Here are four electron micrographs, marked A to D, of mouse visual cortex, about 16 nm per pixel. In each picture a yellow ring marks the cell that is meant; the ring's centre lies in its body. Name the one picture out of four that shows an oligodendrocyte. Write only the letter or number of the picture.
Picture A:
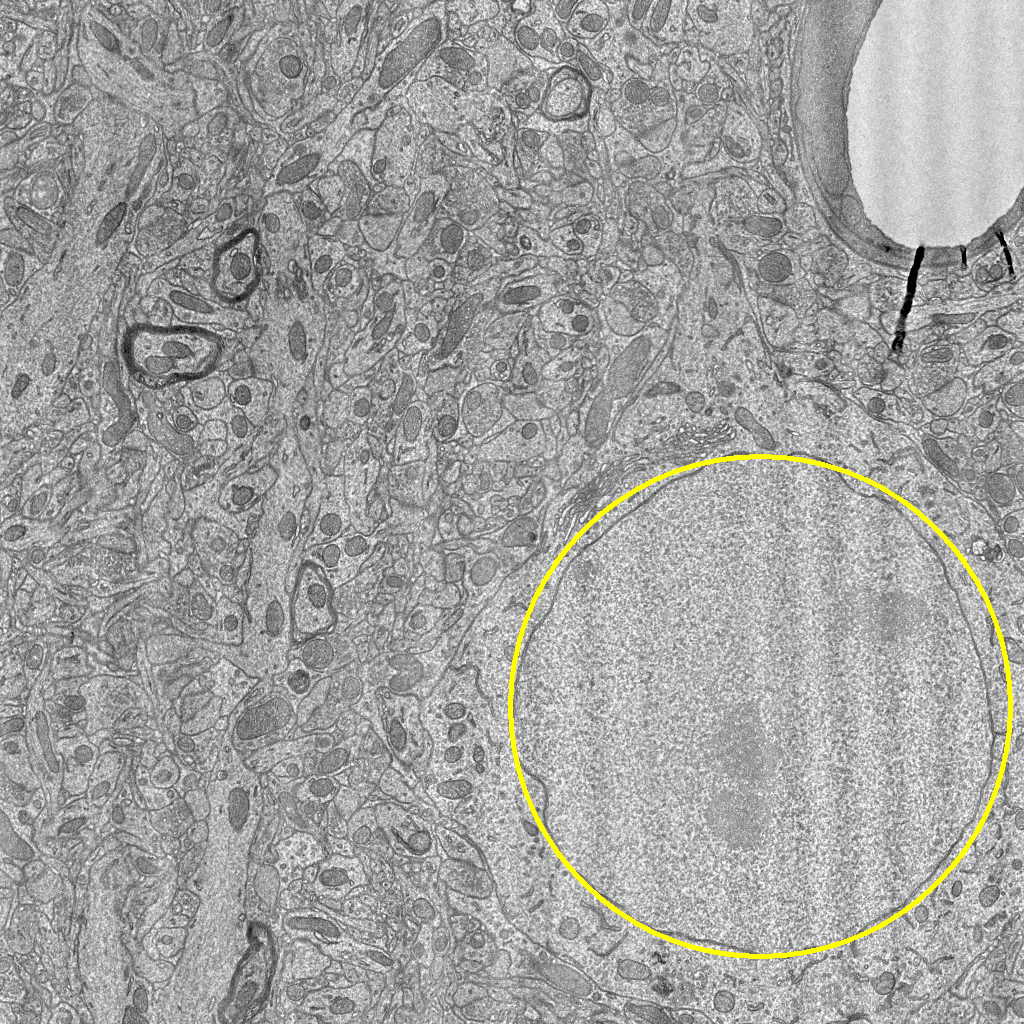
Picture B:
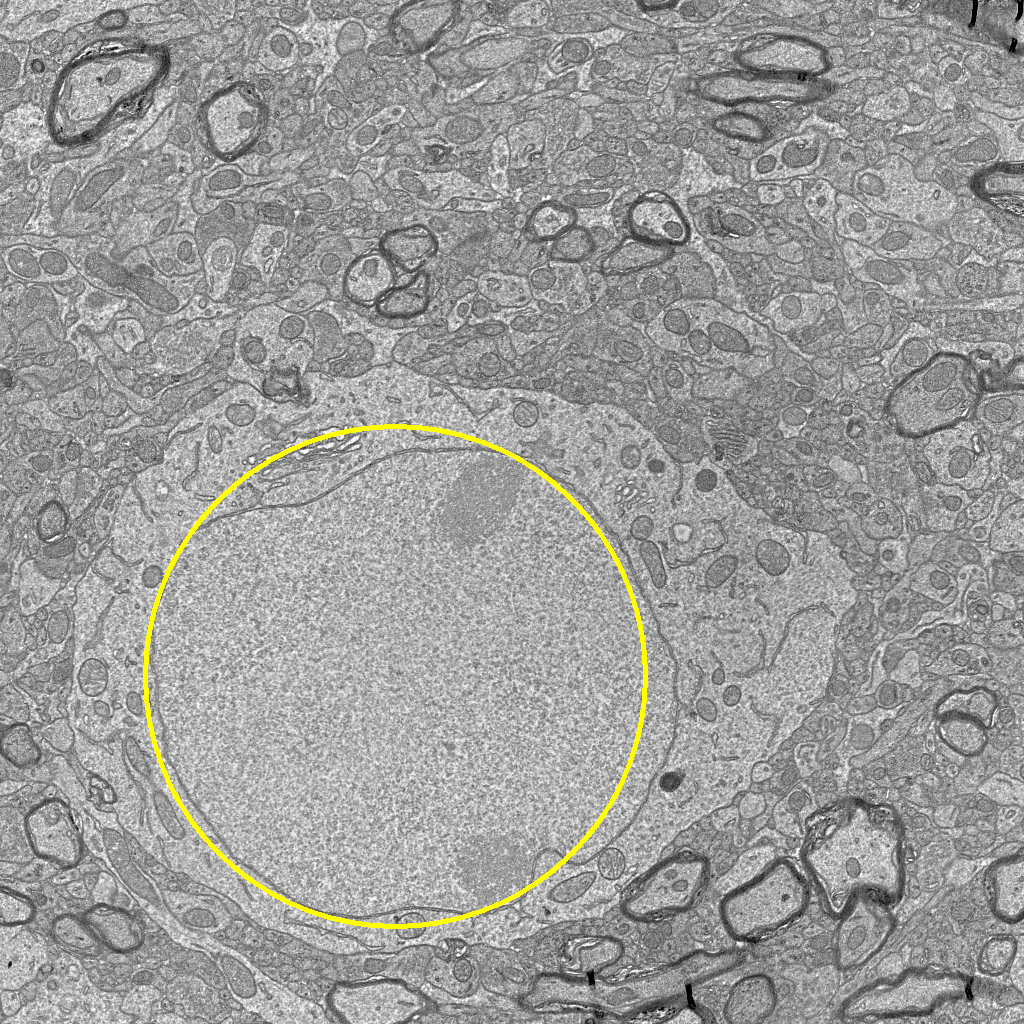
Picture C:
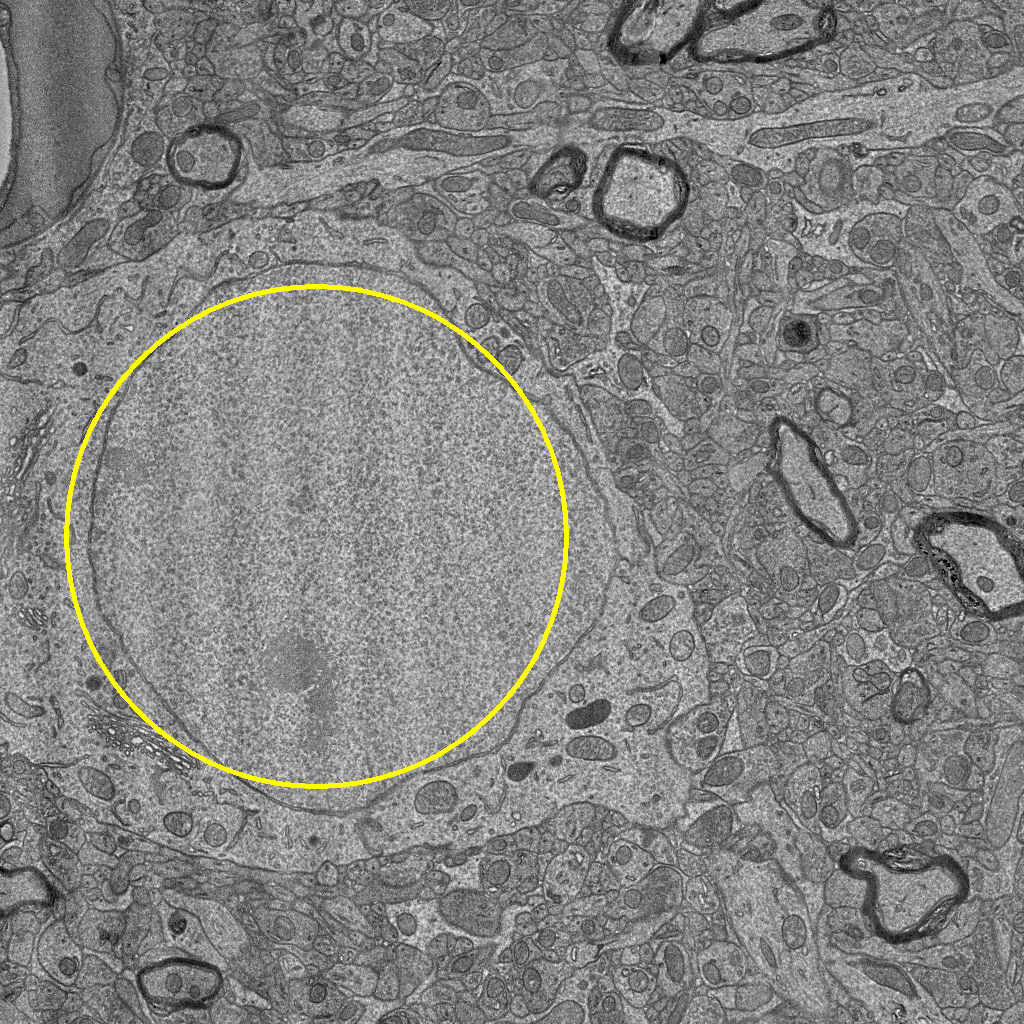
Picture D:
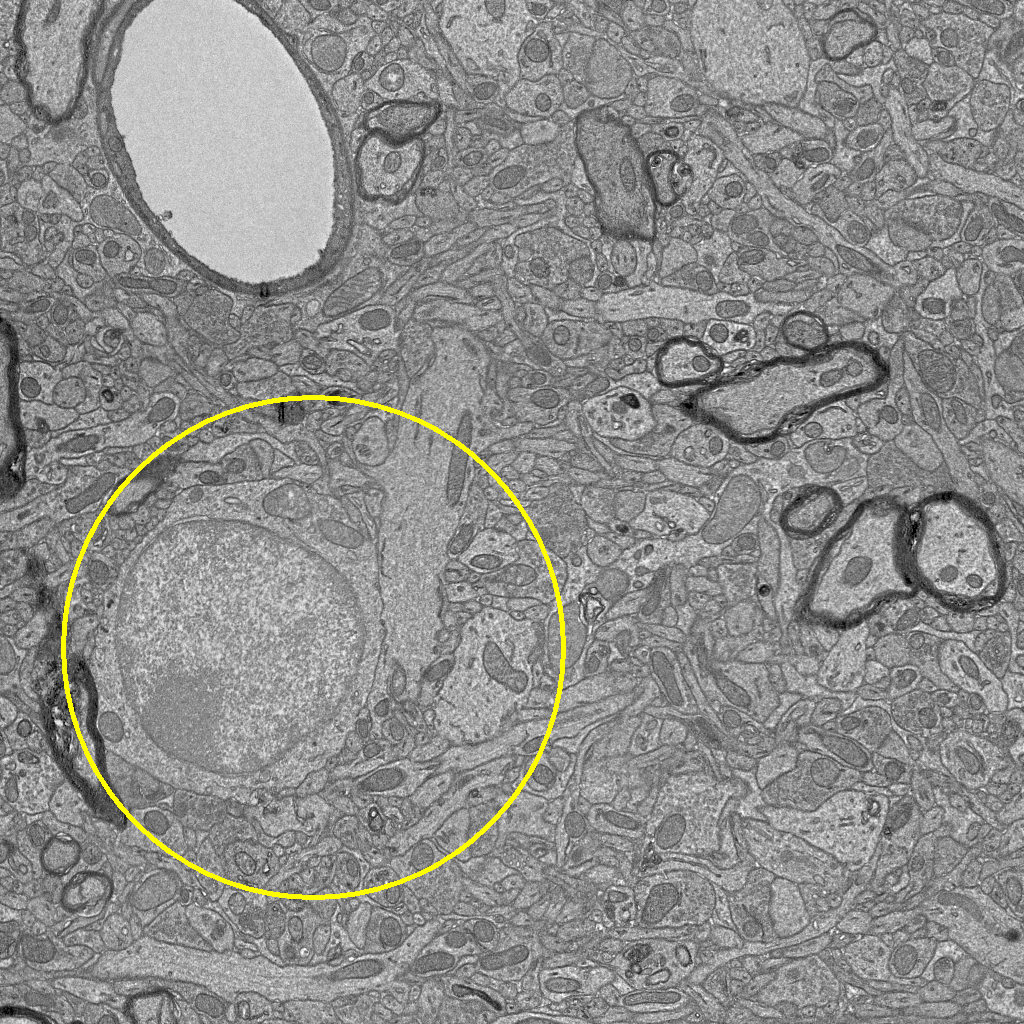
D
